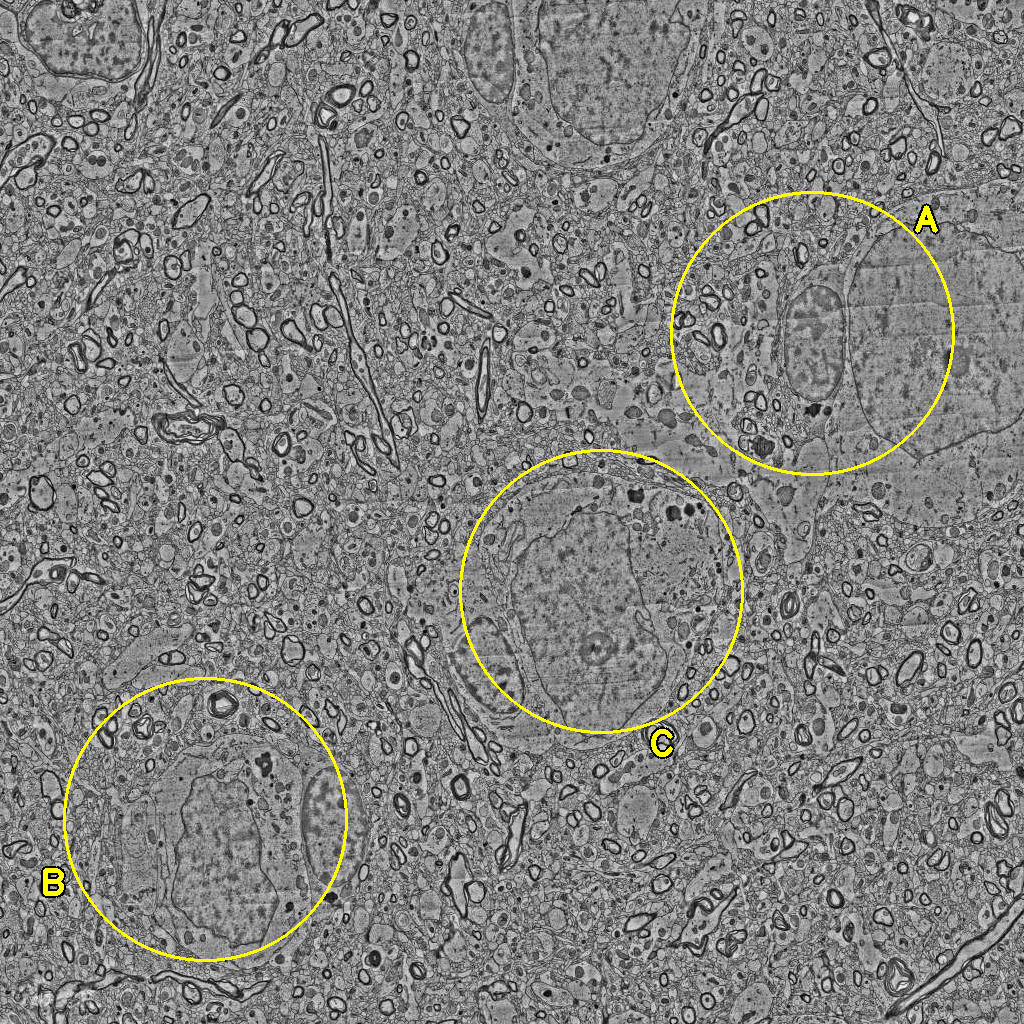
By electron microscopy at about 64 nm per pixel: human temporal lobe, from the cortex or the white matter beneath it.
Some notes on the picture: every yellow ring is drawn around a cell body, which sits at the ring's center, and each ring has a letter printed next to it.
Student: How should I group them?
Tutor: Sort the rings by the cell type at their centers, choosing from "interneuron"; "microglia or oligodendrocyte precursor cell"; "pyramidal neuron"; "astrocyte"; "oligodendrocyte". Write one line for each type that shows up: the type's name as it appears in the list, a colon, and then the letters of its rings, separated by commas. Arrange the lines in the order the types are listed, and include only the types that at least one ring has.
pyramidal neuron: B, C
oligodendrocyte: A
